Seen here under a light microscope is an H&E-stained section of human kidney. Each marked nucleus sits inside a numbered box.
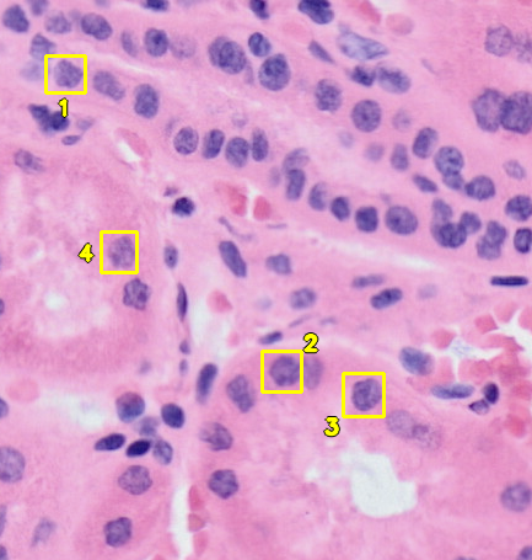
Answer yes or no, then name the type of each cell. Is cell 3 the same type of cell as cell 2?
Yes, cells number 3 and number 2 are both proximal tubule cells.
